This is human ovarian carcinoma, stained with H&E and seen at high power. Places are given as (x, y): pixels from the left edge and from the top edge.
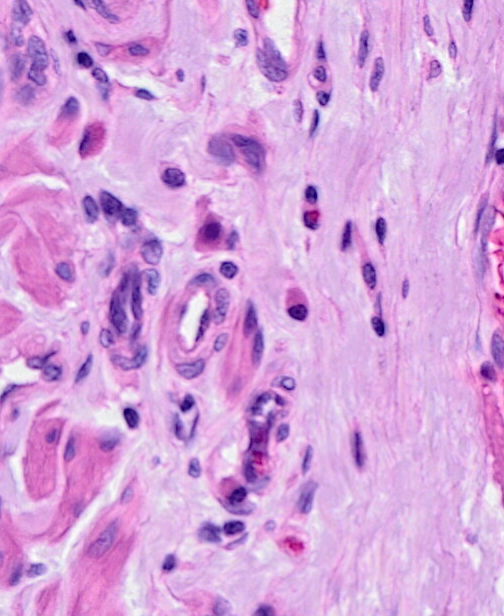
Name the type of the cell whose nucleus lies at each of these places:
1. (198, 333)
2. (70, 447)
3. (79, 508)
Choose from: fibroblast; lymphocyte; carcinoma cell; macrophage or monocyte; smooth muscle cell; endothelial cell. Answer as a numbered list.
1. endothelial cell
2. smooth muscle cell
3. smooth muscle cell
